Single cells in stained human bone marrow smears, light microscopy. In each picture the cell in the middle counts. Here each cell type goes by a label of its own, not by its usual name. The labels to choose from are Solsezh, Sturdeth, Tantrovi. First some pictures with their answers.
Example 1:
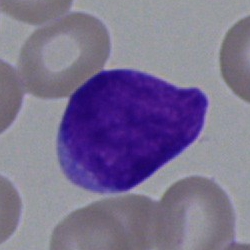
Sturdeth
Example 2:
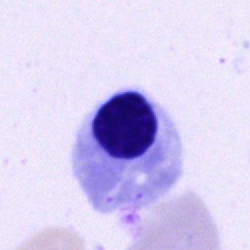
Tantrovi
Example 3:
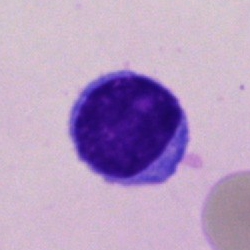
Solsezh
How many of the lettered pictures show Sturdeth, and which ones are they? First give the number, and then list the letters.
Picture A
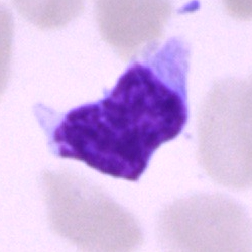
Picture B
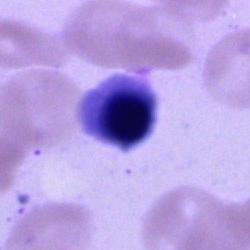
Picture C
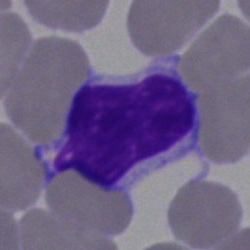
0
